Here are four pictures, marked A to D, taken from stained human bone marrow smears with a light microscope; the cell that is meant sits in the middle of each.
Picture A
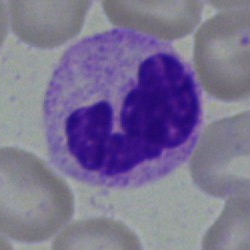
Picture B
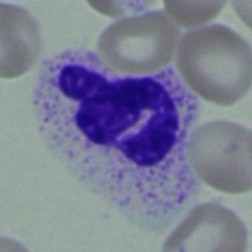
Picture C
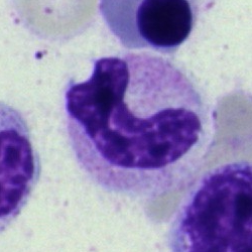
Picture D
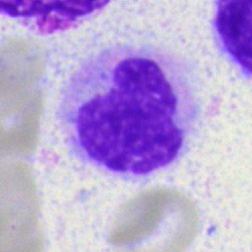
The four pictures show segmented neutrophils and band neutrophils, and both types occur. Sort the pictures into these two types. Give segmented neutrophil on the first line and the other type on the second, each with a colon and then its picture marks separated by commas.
segmented neutrophil: A, B
band neutrophil: C, D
